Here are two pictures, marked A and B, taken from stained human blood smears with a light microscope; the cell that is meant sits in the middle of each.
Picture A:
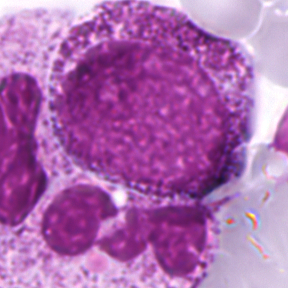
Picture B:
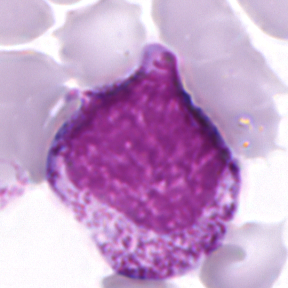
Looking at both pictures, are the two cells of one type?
yes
